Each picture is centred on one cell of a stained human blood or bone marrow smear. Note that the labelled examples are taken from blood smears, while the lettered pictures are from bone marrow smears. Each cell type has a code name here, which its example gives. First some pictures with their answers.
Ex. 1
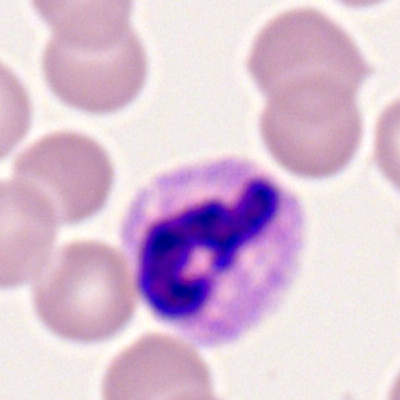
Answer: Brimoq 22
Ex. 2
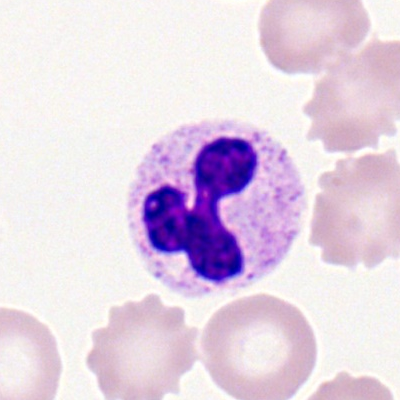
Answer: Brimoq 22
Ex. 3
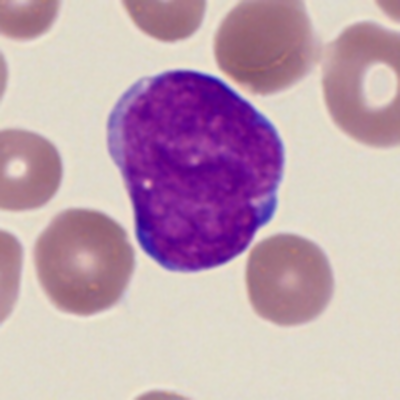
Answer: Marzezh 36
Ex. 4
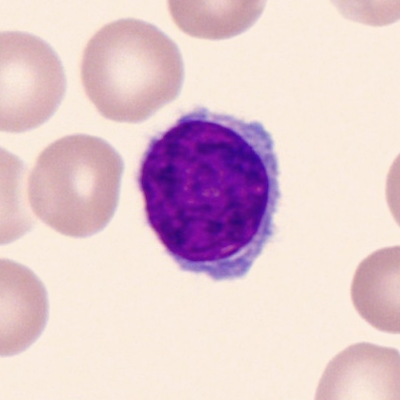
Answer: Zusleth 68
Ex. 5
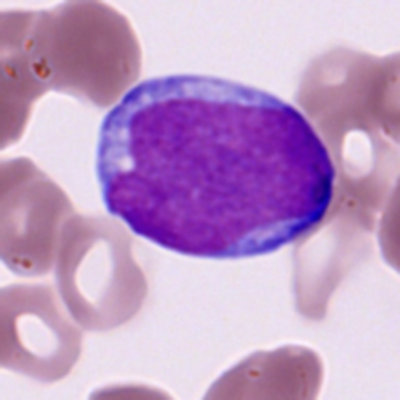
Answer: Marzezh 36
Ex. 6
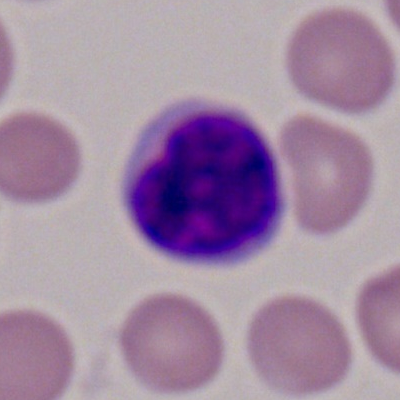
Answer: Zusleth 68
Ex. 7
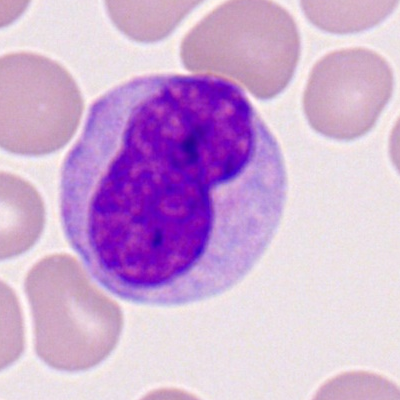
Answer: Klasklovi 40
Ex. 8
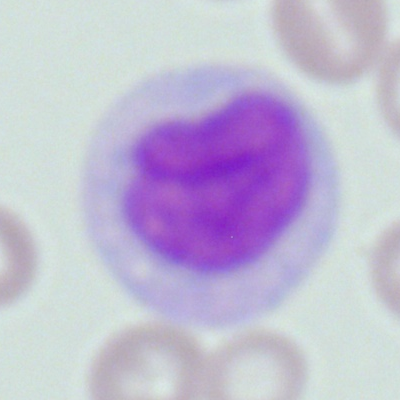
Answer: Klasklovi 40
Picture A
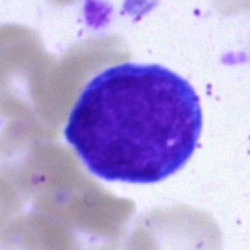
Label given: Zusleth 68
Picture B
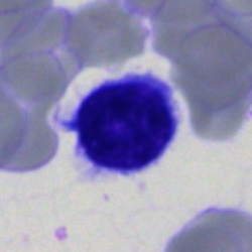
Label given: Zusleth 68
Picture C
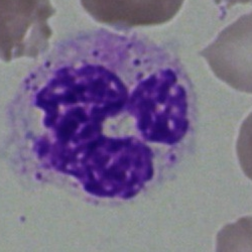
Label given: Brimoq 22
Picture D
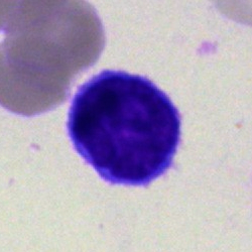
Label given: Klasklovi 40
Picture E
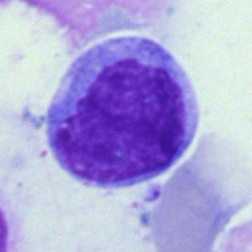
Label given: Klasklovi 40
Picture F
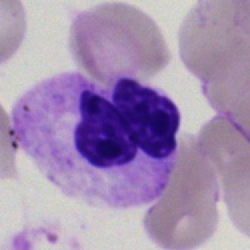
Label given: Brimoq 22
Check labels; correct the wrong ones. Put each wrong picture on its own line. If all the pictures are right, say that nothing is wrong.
D is labelled Klasklovi 40; correct label: Zusleth 68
